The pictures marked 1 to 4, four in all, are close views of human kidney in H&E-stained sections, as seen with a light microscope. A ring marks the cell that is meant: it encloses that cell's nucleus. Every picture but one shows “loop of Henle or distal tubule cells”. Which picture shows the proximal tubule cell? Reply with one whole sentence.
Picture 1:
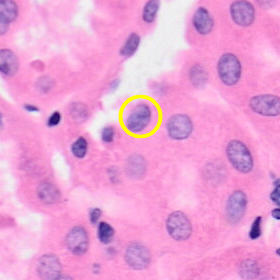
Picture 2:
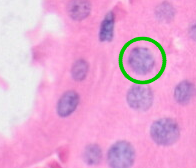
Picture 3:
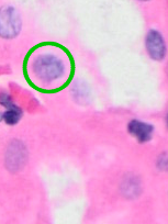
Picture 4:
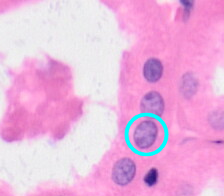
Picture 4 shows the proximal tubule cell.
